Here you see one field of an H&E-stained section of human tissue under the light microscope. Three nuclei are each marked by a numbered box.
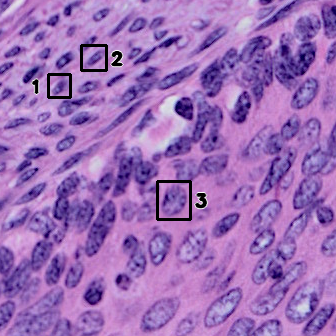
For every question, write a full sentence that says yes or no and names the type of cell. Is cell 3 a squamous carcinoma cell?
Yes, the cell to which number 3 refers is a squamous carcinoma cell.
